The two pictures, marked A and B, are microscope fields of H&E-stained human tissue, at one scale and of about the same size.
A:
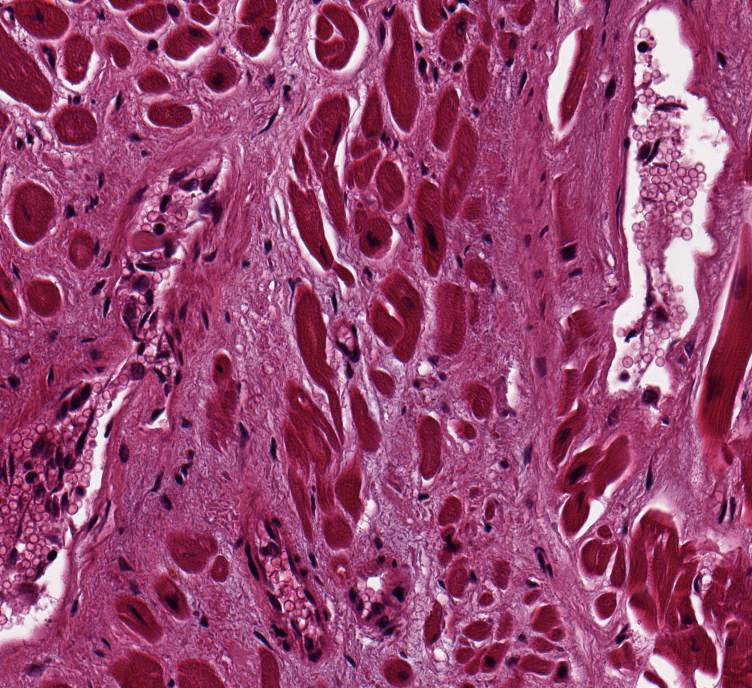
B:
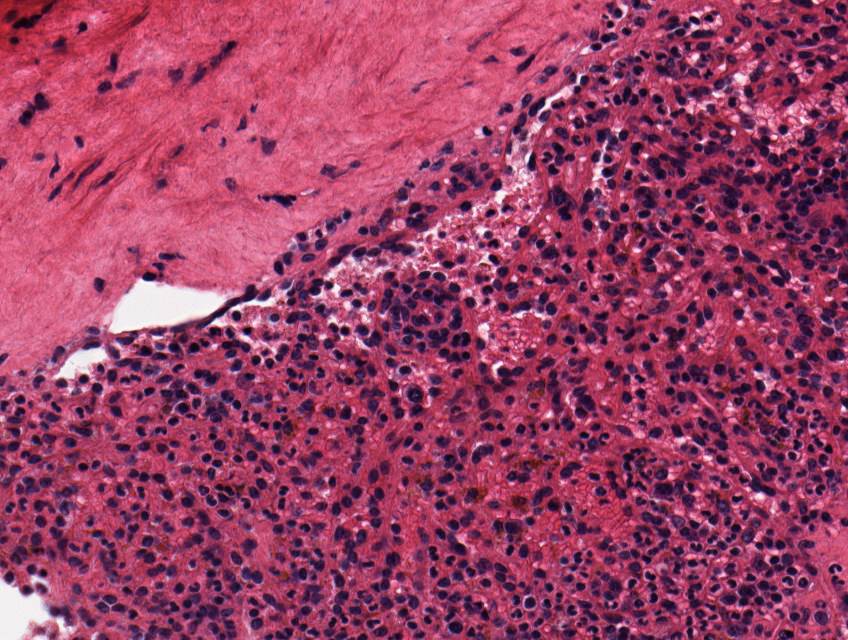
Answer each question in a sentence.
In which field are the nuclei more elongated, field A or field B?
Longer, more slender nuclei lie in field A.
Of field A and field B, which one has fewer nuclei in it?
The smaller number of nuclei is in field A.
